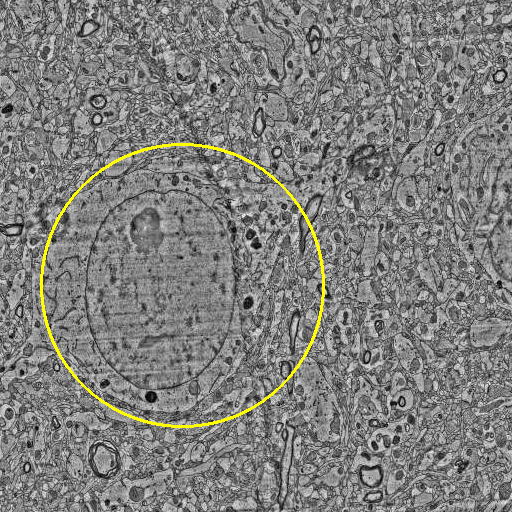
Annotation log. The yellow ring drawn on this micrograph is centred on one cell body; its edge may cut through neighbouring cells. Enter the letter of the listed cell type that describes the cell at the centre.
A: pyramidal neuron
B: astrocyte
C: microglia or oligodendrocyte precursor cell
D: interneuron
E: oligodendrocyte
A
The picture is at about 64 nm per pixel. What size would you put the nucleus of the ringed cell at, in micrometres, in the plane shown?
The ringed cell's nucleus measures approximately 13 by 10 micrometres in this plane.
